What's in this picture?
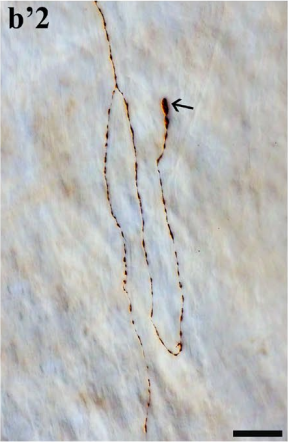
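Several thin, beaded branches run lengthwise and roughly parallel to one another. Along each branch small swellings, or varicosities, alternate with thinner stretches, giving a dotted appearance. No cell bodies are labeled; only the fine fibres stand out.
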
